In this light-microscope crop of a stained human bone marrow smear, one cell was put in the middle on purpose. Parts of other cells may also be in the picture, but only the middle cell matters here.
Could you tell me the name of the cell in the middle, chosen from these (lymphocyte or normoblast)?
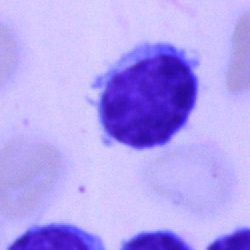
lymphocyte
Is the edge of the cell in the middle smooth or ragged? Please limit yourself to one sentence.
The perimeter of the cell is irregular, with ragged sections or outward projections.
